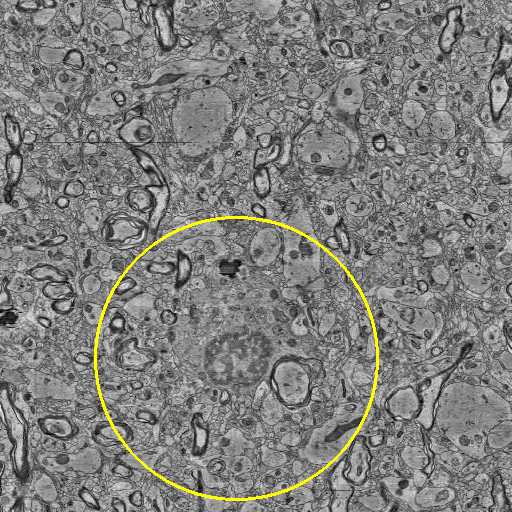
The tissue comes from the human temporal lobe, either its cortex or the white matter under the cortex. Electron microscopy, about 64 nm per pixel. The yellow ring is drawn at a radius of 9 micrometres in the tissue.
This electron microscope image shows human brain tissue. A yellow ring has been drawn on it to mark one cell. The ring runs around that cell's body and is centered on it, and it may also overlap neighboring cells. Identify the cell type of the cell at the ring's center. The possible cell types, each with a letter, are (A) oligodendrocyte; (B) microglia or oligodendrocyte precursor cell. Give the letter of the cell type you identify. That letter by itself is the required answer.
A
